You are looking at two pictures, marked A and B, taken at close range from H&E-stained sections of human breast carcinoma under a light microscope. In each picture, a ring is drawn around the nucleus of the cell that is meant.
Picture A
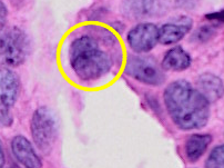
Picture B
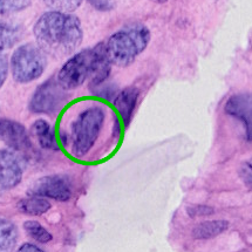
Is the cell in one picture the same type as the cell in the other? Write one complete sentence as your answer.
Yes, they are the same type: both are carcinoma cells.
